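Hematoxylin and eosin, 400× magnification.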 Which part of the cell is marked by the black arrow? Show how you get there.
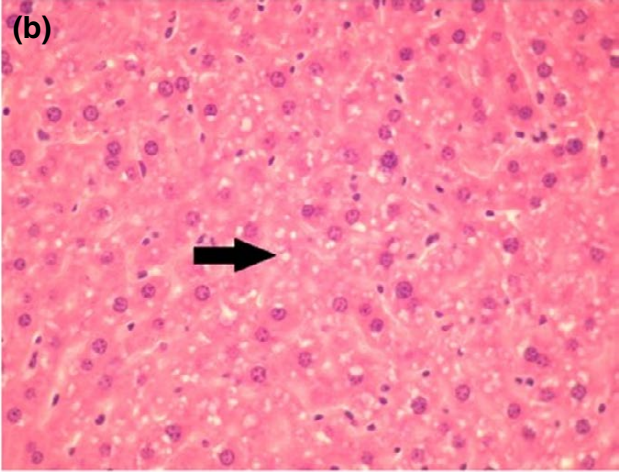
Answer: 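Fat vacuoles. Numerous small unstained round spaces are scattered through the pink cytoplasm. The arrow points into an area crowded with these clear spaces.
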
